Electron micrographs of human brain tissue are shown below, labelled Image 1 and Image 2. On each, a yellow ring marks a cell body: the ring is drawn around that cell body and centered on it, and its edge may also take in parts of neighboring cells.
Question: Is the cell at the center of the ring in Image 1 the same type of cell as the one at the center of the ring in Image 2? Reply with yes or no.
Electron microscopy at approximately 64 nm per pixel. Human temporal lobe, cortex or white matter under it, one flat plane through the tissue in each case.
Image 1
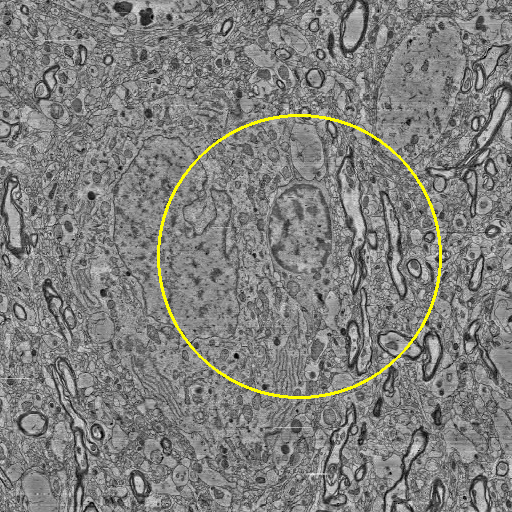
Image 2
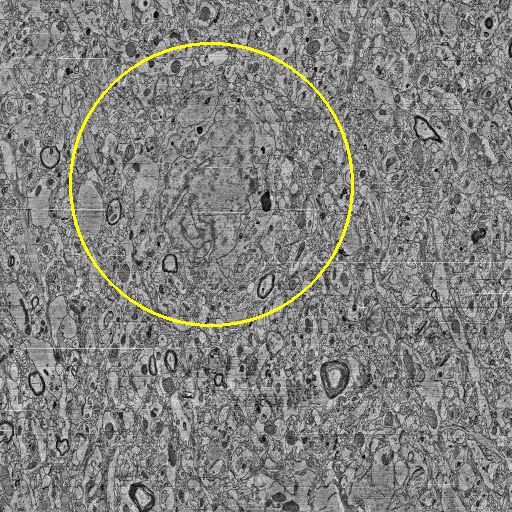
no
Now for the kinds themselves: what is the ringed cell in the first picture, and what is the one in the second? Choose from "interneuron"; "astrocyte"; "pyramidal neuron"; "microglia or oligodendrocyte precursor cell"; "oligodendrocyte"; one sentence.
Here the first cell is an oligodendrocyte and the second cell is an interneuron.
